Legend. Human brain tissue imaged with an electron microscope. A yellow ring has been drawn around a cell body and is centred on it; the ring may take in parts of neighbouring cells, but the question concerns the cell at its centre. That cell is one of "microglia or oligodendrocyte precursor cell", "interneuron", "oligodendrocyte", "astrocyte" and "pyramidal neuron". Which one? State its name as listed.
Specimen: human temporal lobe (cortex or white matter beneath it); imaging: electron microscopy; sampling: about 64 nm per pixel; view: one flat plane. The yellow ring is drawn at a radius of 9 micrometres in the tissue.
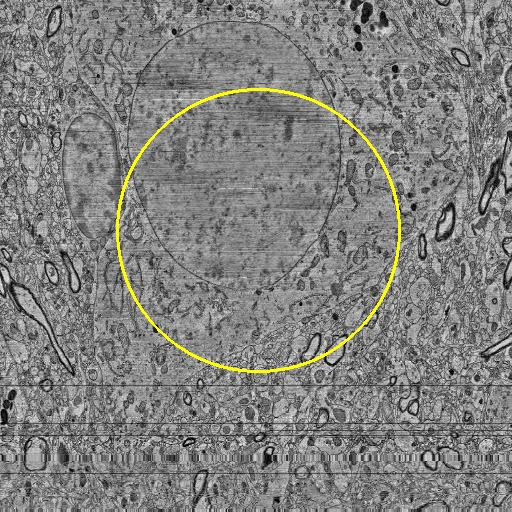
pyramidal neuron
